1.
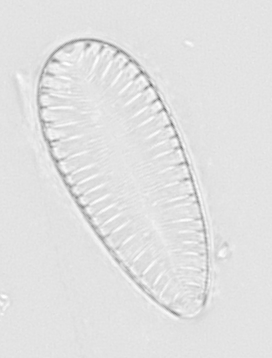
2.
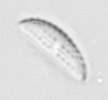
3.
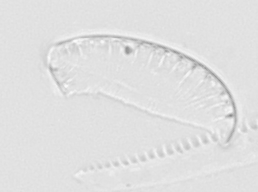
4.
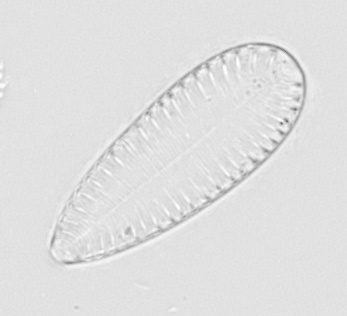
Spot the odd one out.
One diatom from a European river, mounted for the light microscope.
Picture 2 (Amphora among Surirella).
